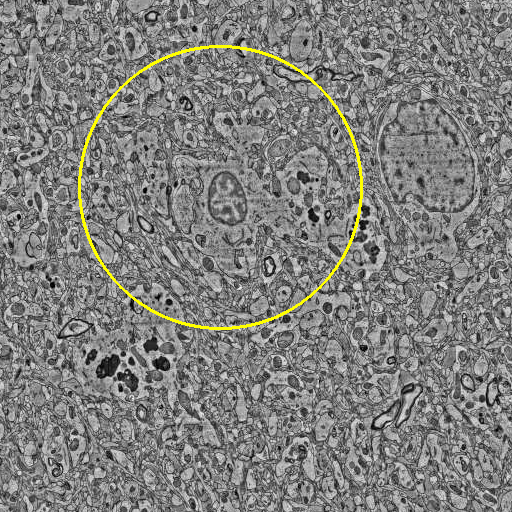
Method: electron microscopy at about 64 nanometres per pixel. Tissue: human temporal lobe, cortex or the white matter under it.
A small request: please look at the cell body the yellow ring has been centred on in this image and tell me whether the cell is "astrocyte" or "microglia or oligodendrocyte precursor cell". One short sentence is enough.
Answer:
The cell marked by the ring is an astrocyte.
